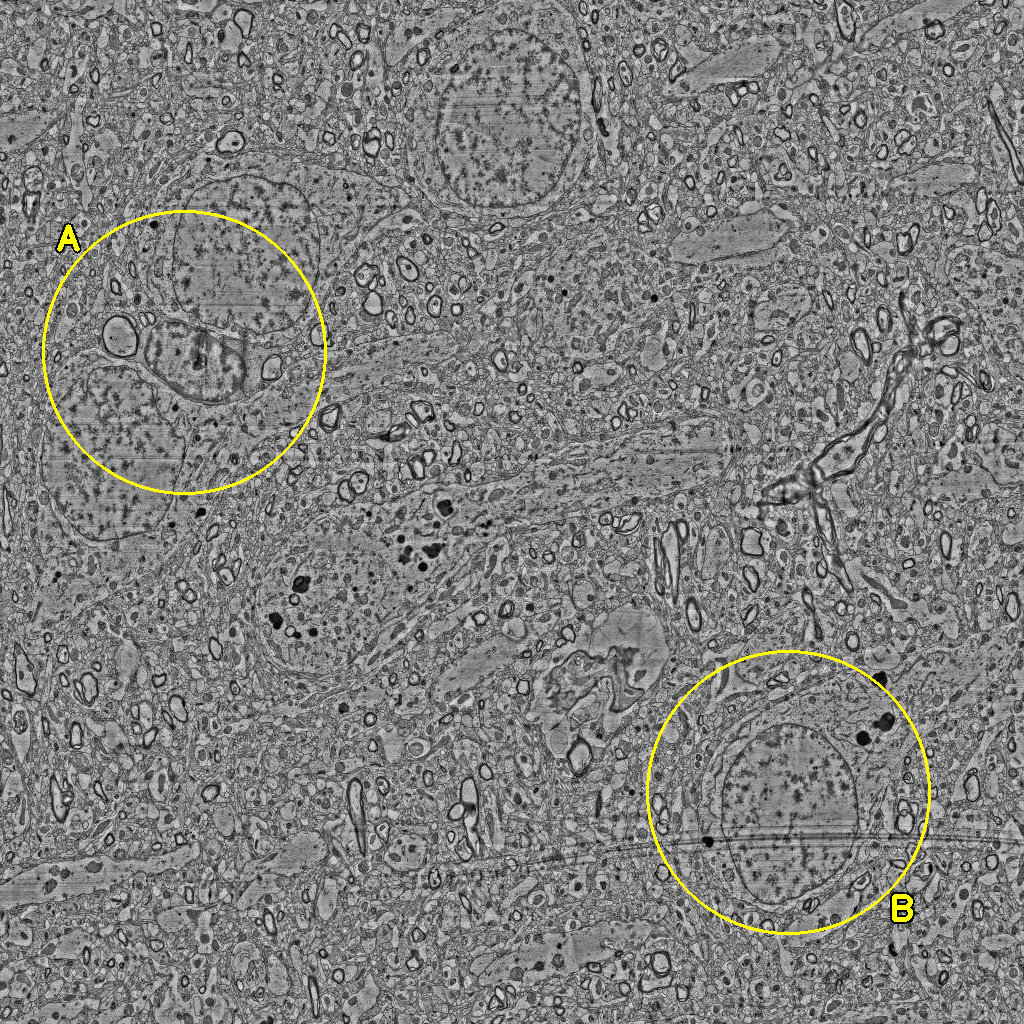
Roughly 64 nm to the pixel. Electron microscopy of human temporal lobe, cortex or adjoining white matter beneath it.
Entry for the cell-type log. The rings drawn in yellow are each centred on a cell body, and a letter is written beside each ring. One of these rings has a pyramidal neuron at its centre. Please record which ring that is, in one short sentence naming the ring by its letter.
Ring B is centred on it.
